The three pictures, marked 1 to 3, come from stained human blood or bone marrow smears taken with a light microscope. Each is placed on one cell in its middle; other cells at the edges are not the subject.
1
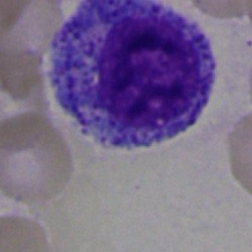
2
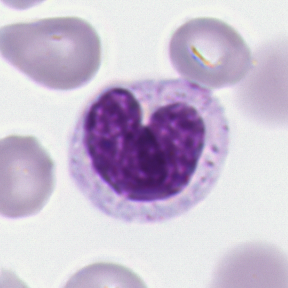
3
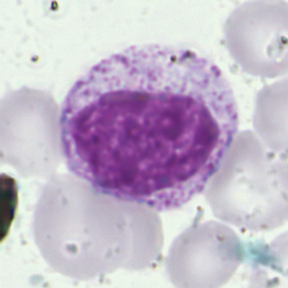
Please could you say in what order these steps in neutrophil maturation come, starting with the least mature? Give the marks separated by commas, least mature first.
1, 3, 2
